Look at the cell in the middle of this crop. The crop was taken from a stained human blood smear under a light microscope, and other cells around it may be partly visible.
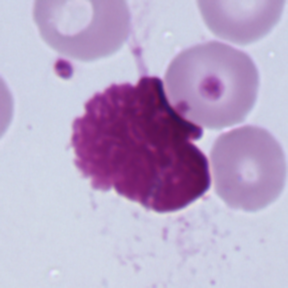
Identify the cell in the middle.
smudge cell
